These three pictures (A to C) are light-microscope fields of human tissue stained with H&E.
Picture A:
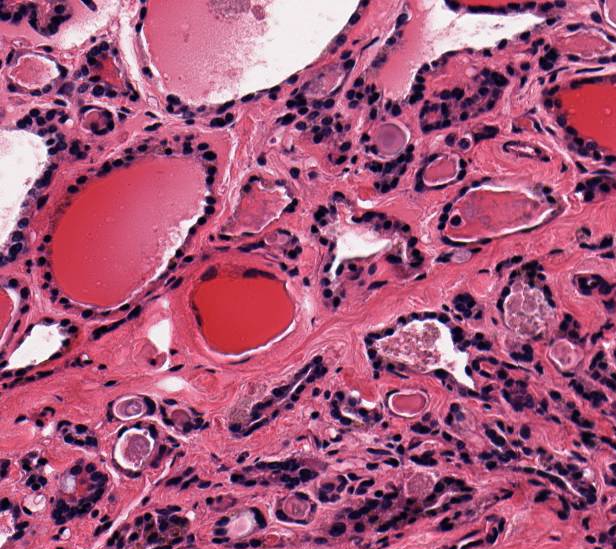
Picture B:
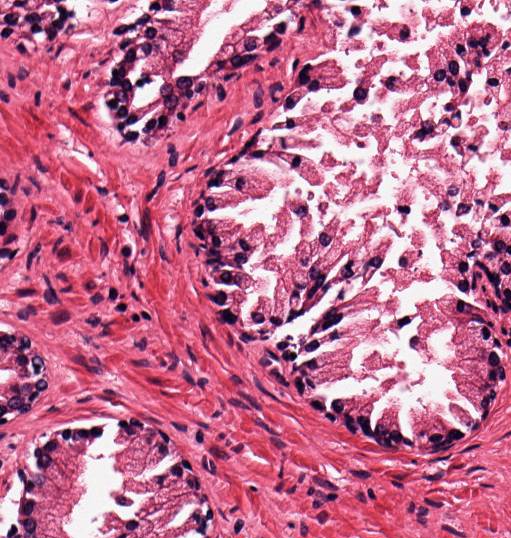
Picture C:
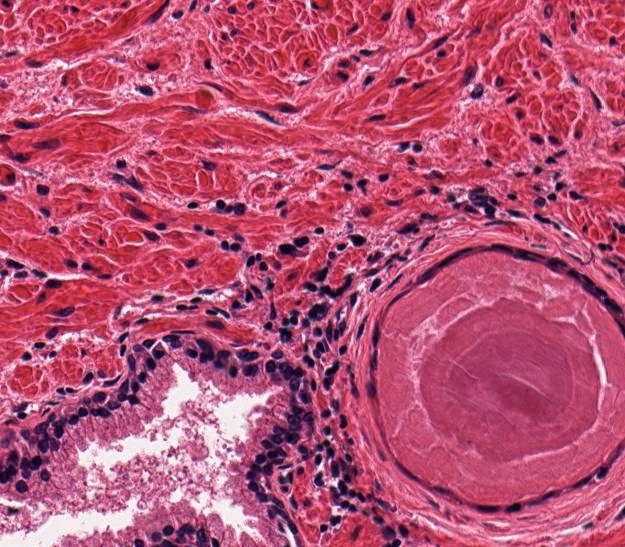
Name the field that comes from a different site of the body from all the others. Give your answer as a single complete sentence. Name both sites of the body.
Picture A is the odd one out: it comes from the thyroid, while the others come from the prostate.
